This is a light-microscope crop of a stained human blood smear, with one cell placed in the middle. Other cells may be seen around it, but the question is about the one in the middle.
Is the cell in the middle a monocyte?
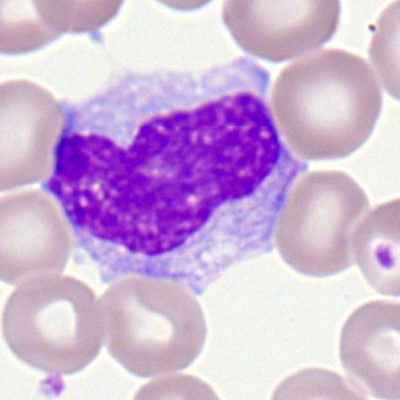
yes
